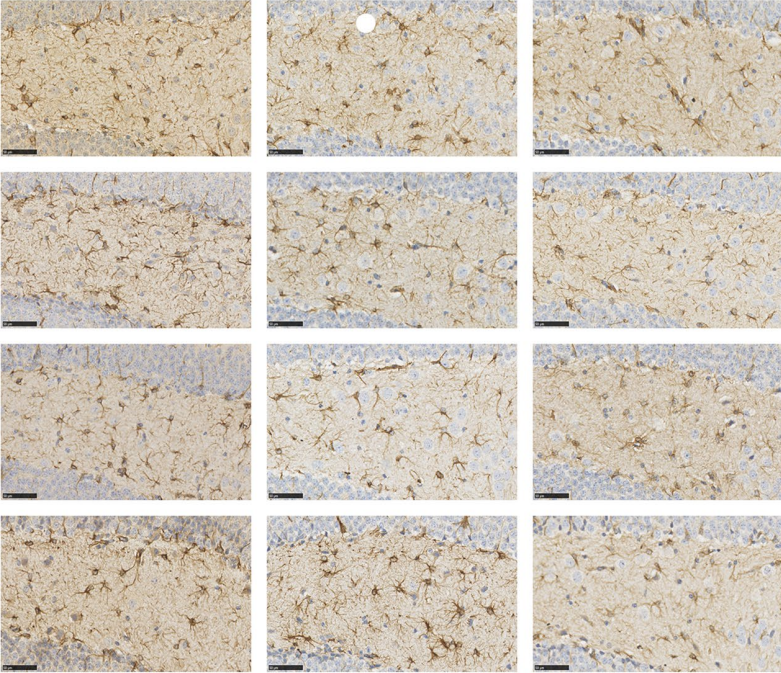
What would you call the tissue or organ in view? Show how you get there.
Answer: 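Curved bands of densely packed small blue nuclei run along the edges of the fields. A less cellular region containing scattered brown-stained cells lies between the bands. So: dentate gyrus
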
